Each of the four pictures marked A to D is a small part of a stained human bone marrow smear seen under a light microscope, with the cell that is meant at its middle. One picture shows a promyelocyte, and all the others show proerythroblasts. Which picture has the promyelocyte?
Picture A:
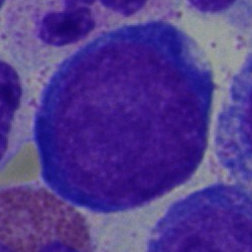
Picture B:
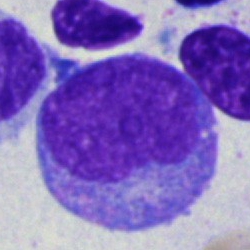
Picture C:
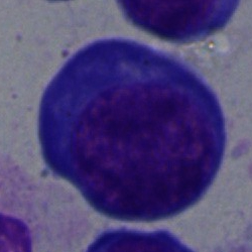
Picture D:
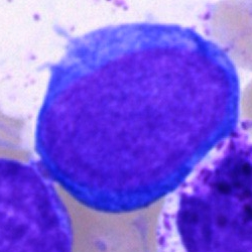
B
